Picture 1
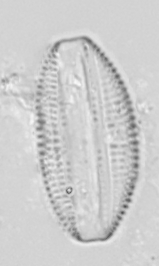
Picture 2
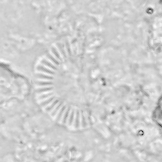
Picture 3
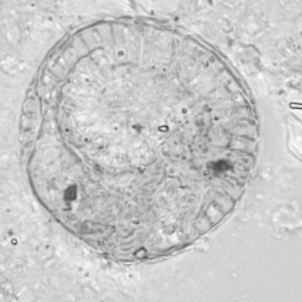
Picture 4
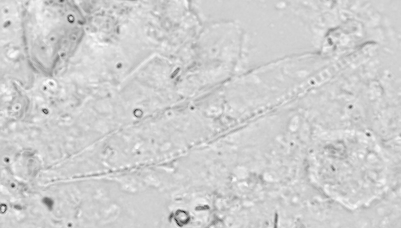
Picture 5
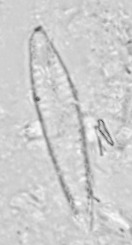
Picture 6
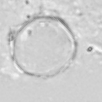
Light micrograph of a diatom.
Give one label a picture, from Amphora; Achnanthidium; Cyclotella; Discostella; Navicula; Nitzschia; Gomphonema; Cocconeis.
(1) Amphora
(2) Discostella
(3) Cyclotella
(4) Nitzschia
(5) Gomphonema
(6) Discostella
